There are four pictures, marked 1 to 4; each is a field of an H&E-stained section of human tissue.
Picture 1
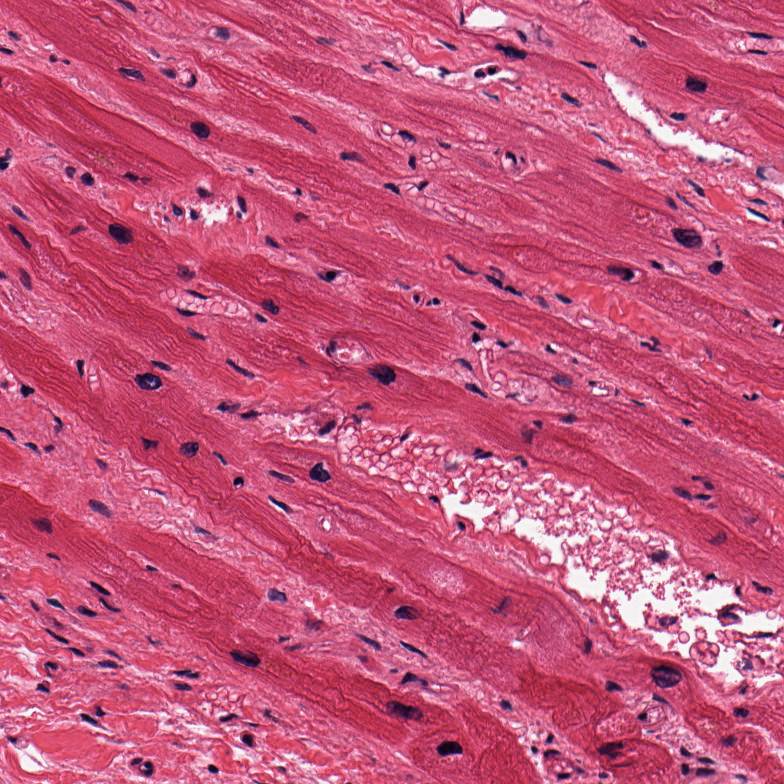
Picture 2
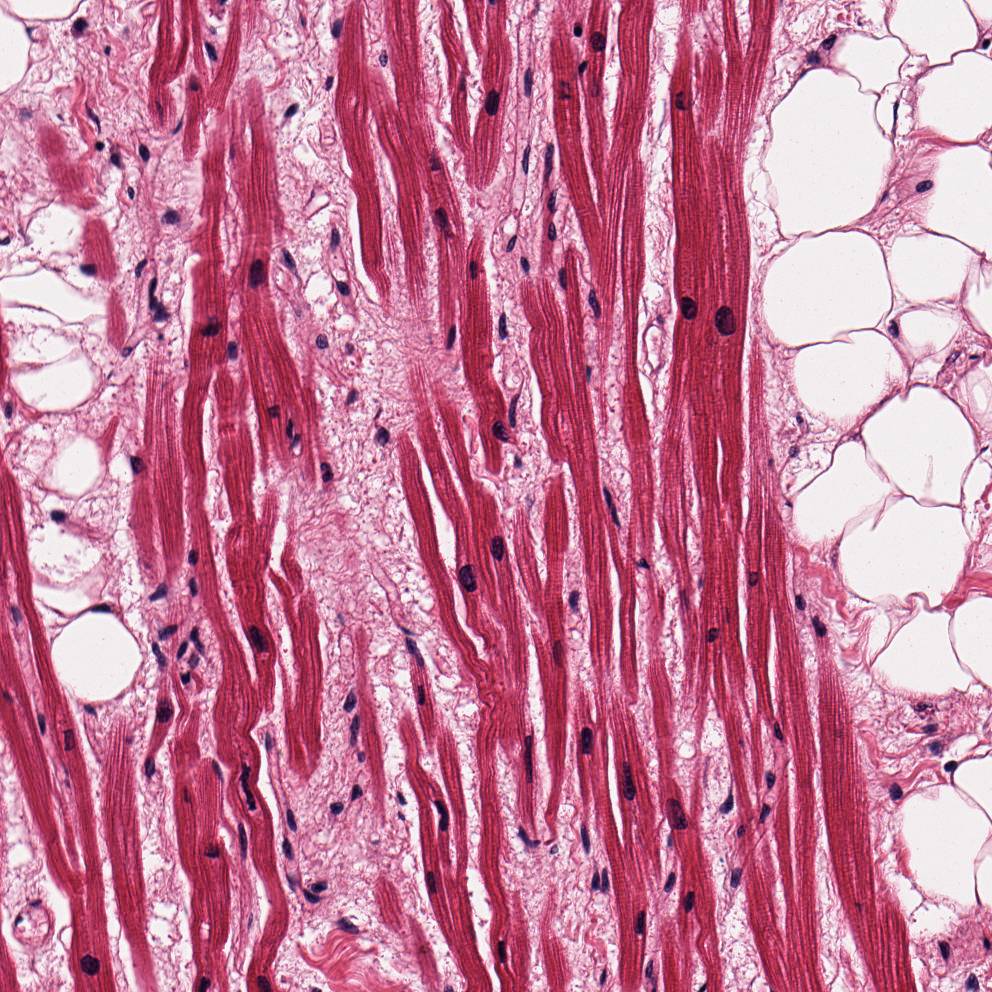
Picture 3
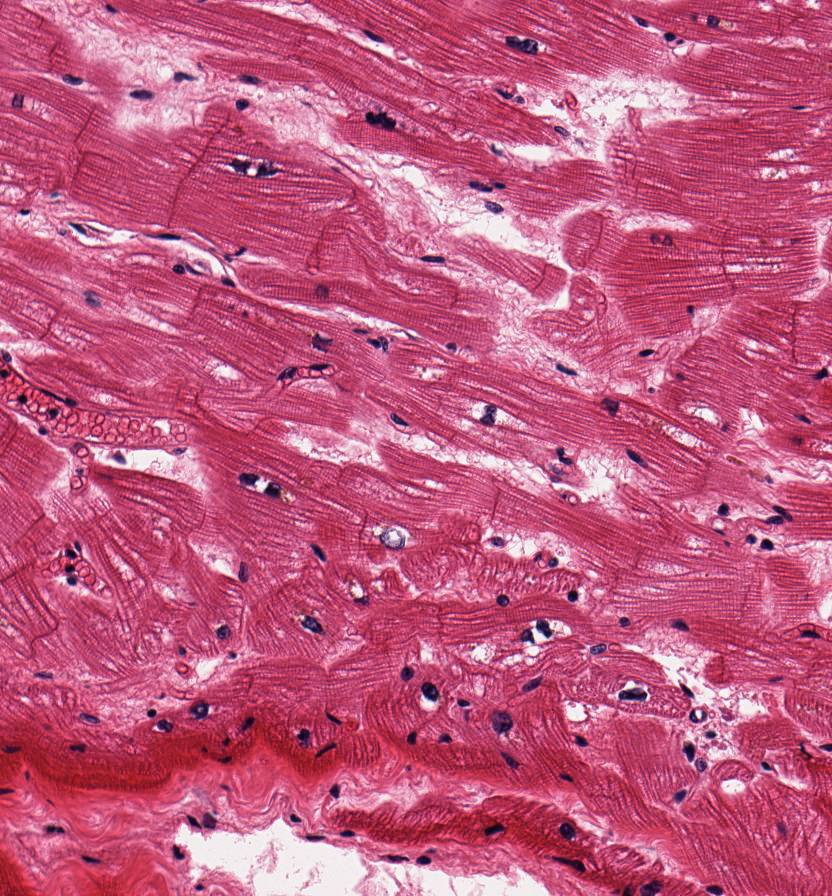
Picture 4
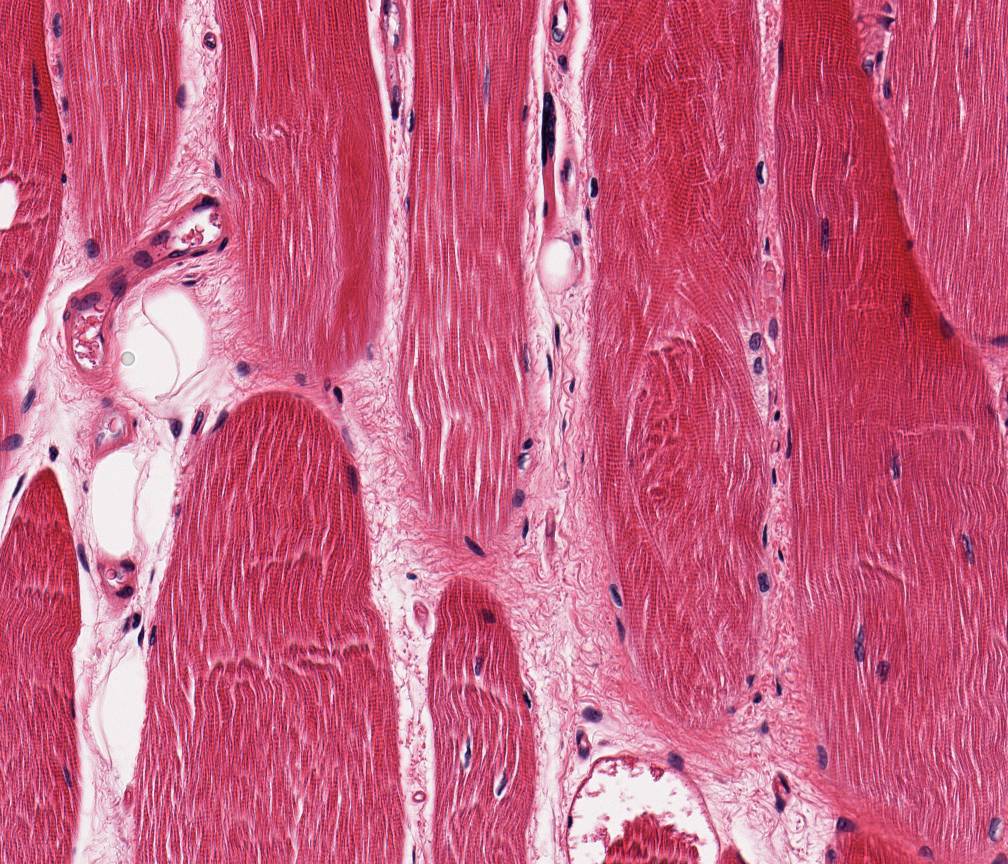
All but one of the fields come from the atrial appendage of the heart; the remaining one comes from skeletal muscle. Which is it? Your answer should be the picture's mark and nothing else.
4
